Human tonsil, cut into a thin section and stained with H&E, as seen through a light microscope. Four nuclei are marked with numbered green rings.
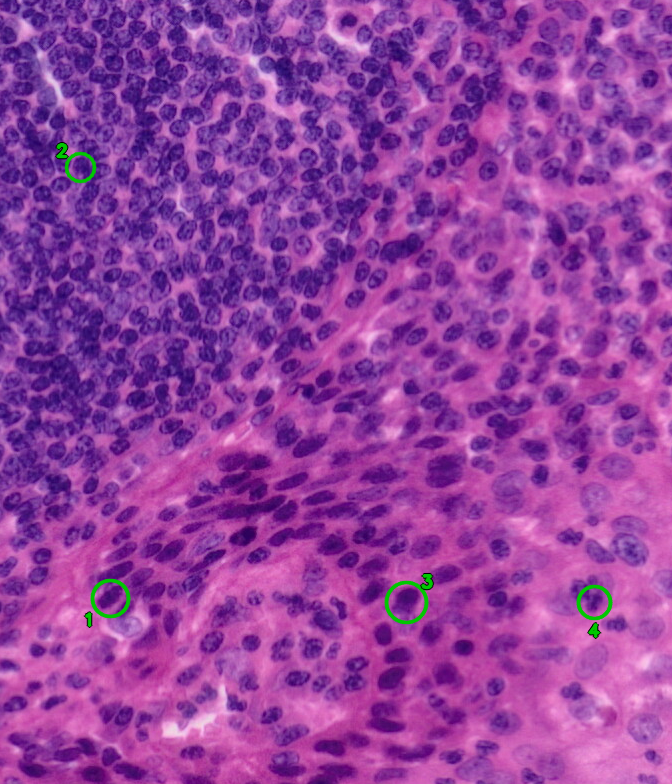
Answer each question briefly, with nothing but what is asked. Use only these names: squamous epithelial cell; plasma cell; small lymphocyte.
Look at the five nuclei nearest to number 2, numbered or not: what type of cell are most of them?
small lymphocyte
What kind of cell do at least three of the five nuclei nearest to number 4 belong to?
squamous epithelial cell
